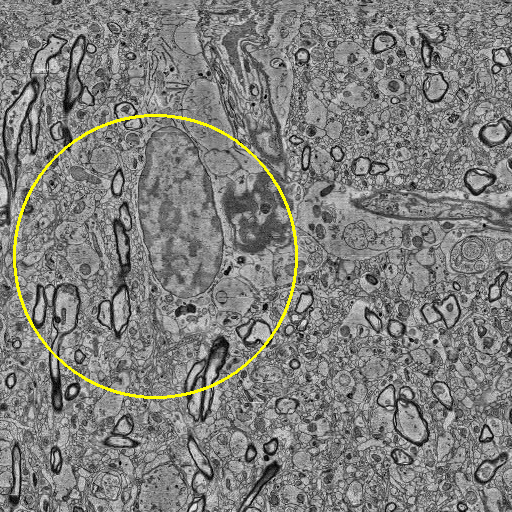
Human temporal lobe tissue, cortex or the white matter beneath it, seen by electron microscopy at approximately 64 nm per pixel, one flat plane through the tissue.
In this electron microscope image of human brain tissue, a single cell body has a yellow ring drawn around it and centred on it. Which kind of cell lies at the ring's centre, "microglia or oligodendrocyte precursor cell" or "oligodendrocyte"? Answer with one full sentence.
It is a microglial cell or oligodendrocyte precursor cell whose cell body lies at the centre of the yellow ring here.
